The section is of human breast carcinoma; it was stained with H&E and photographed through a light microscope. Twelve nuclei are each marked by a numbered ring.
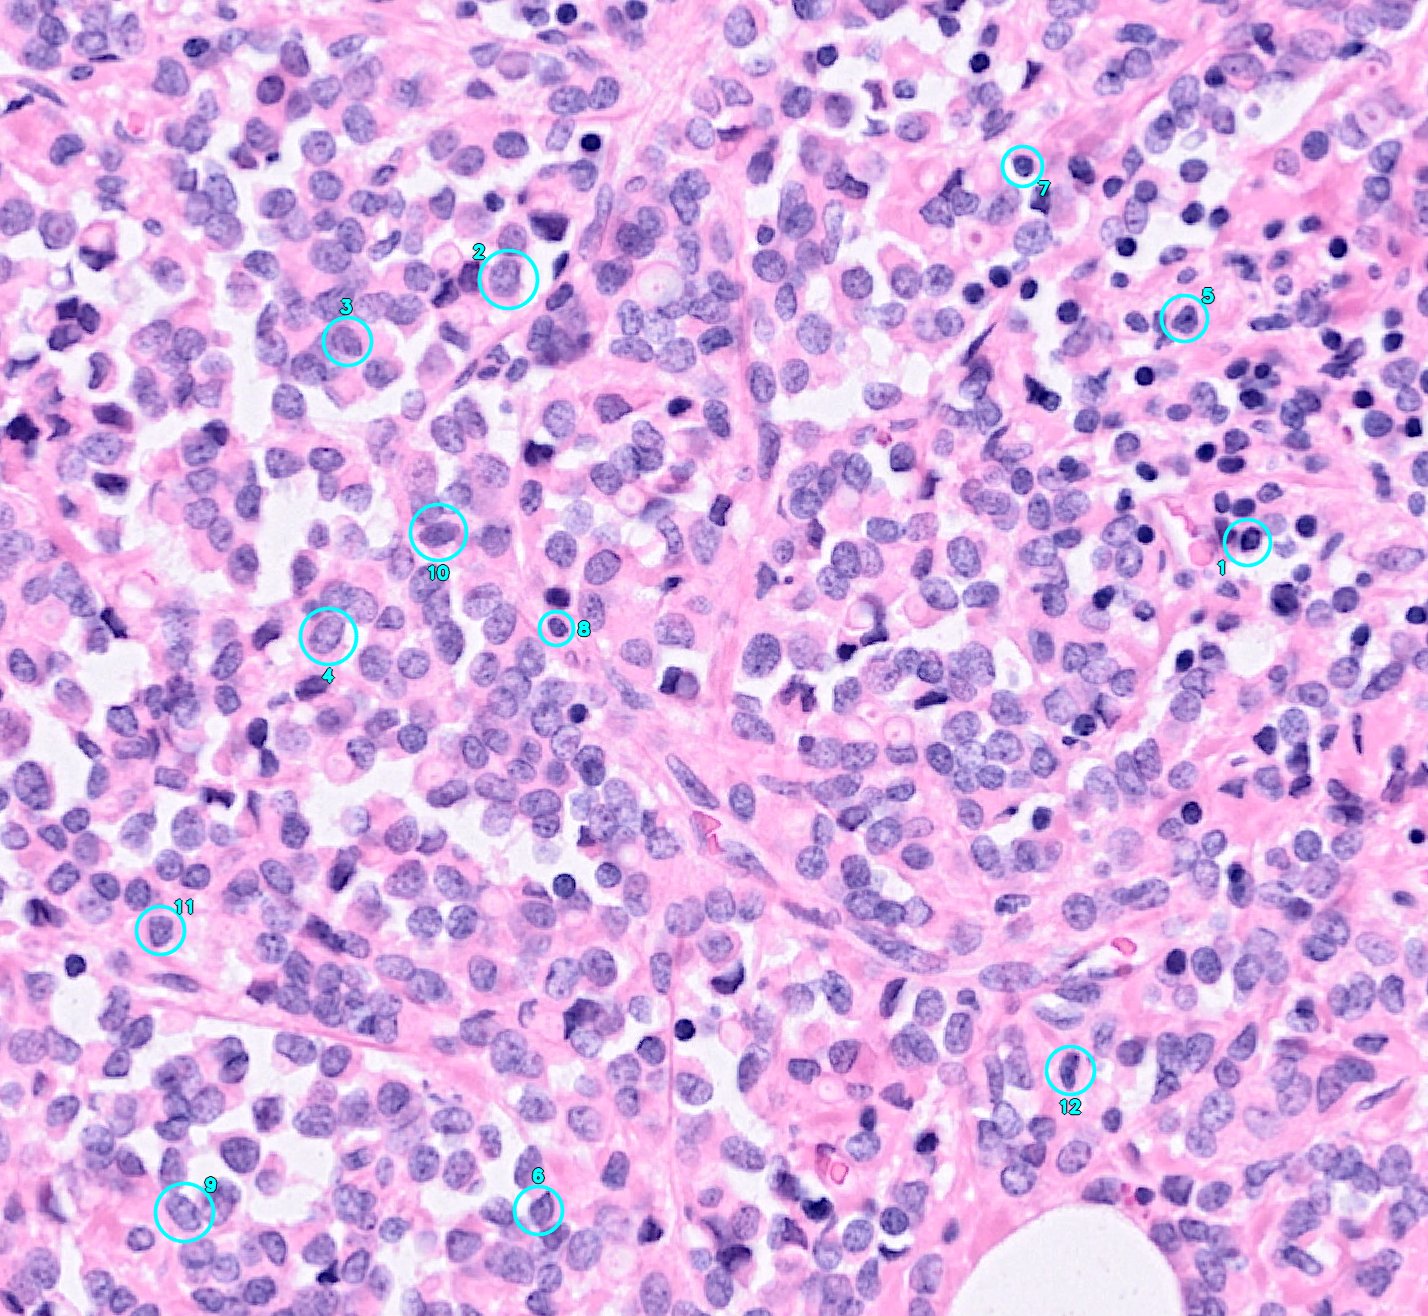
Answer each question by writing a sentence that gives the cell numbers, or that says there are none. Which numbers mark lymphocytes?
The cells shown with numbers 1, 5, 7, 8 and 12 are lymphocytes.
